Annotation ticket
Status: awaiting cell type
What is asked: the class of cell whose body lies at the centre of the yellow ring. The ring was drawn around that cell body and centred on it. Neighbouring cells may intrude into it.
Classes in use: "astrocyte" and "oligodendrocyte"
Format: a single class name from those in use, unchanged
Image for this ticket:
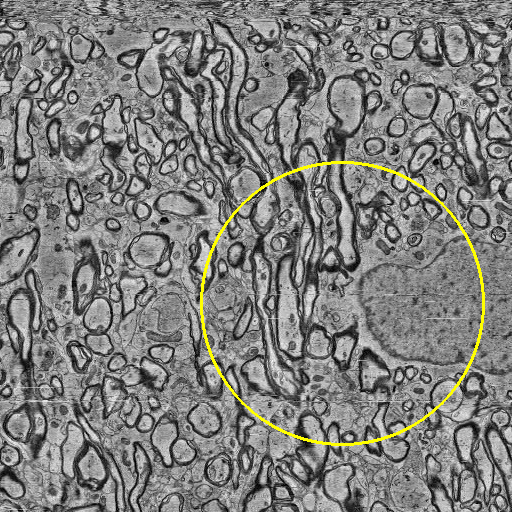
astrocyte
